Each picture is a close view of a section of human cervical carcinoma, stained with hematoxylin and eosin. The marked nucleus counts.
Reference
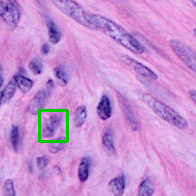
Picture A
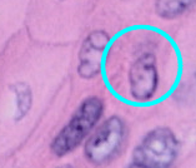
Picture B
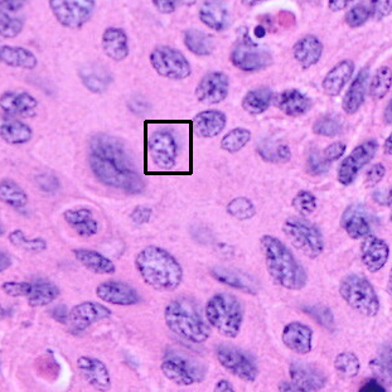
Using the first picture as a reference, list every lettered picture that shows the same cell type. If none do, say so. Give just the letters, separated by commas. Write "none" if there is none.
none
